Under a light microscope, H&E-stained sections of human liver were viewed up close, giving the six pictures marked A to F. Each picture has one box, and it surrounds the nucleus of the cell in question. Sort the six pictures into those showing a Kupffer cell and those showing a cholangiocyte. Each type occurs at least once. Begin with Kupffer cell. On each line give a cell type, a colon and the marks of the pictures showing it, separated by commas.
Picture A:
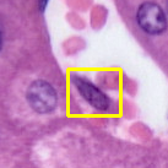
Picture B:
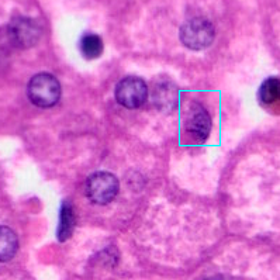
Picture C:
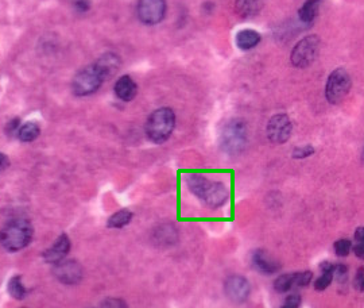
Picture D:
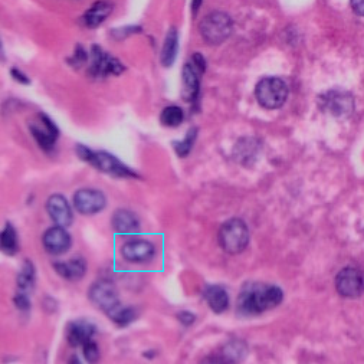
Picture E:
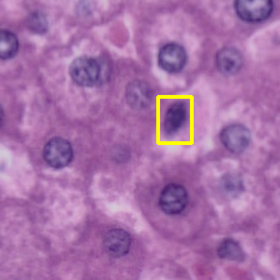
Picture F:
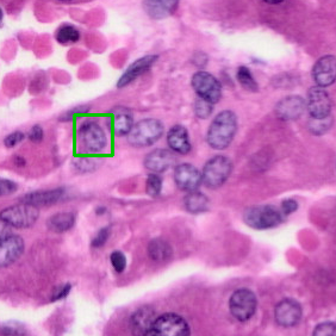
Kupffer cell: A, B, C, E
cholangiocyte: D, F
